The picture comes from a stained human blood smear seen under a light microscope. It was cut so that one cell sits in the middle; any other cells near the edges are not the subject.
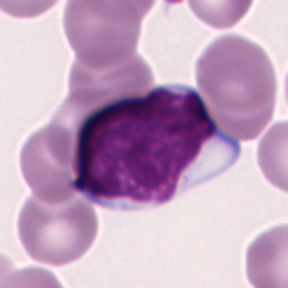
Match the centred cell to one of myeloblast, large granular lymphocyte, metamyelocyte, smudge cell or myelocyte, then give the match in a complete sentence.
Positioned in the middle of the crop is a large granular lymphocyte.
